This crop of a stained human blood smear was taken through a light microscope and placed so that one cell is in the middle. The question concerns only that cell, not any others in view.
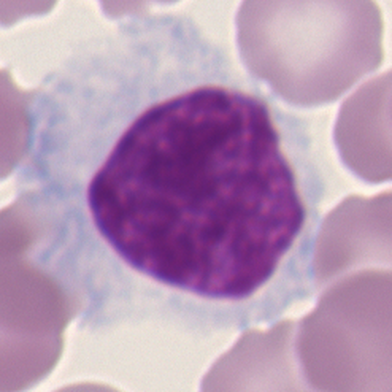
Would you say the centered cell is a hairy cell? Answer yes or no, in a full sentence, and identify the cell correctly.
Yes, the cell that lies centrally is a hairy cell.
